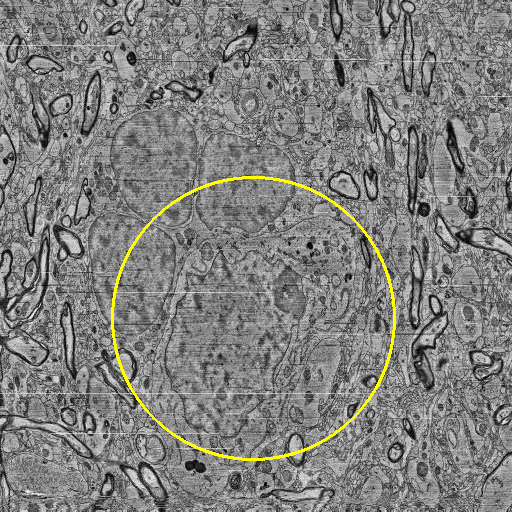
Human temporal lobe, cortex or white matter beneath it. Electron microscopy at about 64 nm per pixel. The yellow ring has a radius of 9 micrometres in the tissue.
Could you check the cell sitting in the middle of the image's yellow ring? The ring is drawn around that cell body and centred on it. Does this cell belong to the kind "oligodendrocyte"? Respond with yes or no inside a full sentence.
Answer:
No, this cell in the middle of the yellow ring is one of a different kind.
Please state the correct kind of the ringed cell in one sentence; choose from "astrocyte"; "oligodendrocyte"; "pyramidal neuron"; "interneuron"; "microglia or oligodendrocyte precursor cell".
The cell enclosed by the ring is an interneuron.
